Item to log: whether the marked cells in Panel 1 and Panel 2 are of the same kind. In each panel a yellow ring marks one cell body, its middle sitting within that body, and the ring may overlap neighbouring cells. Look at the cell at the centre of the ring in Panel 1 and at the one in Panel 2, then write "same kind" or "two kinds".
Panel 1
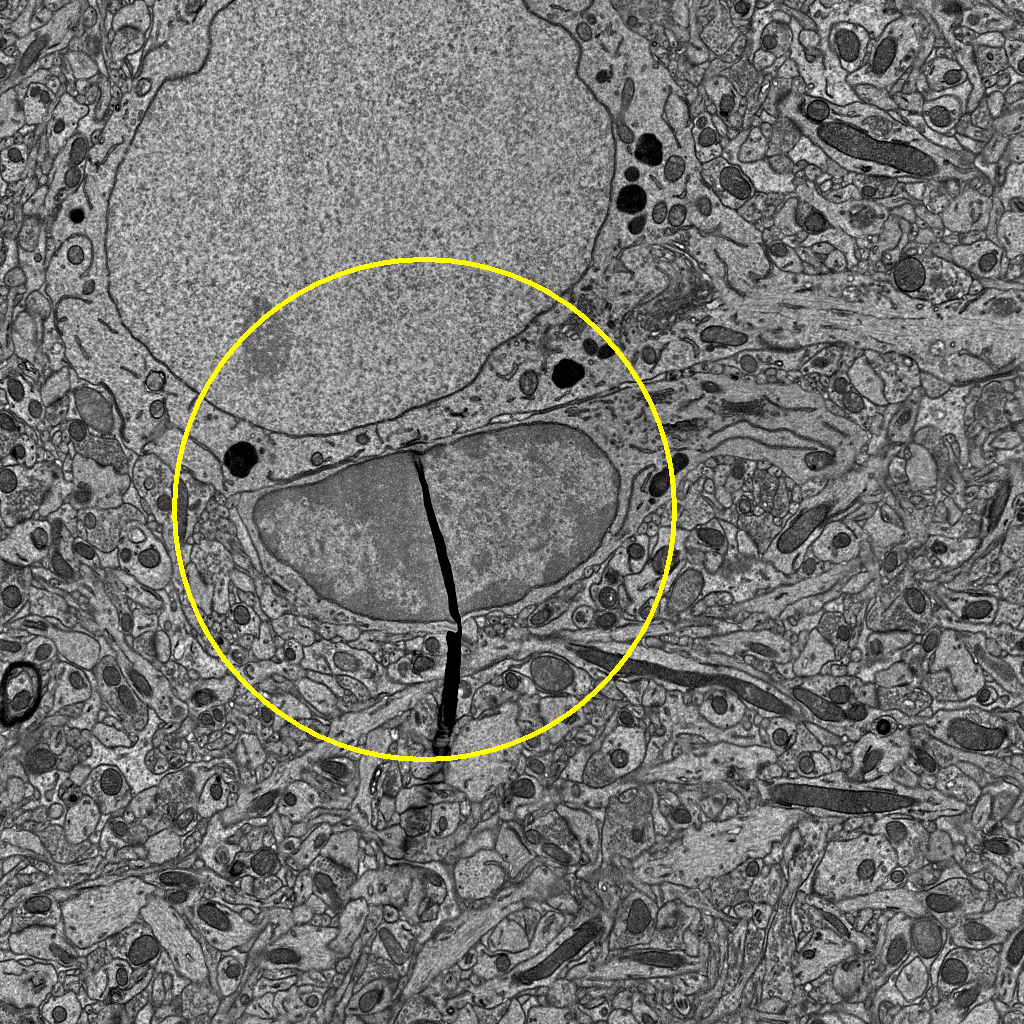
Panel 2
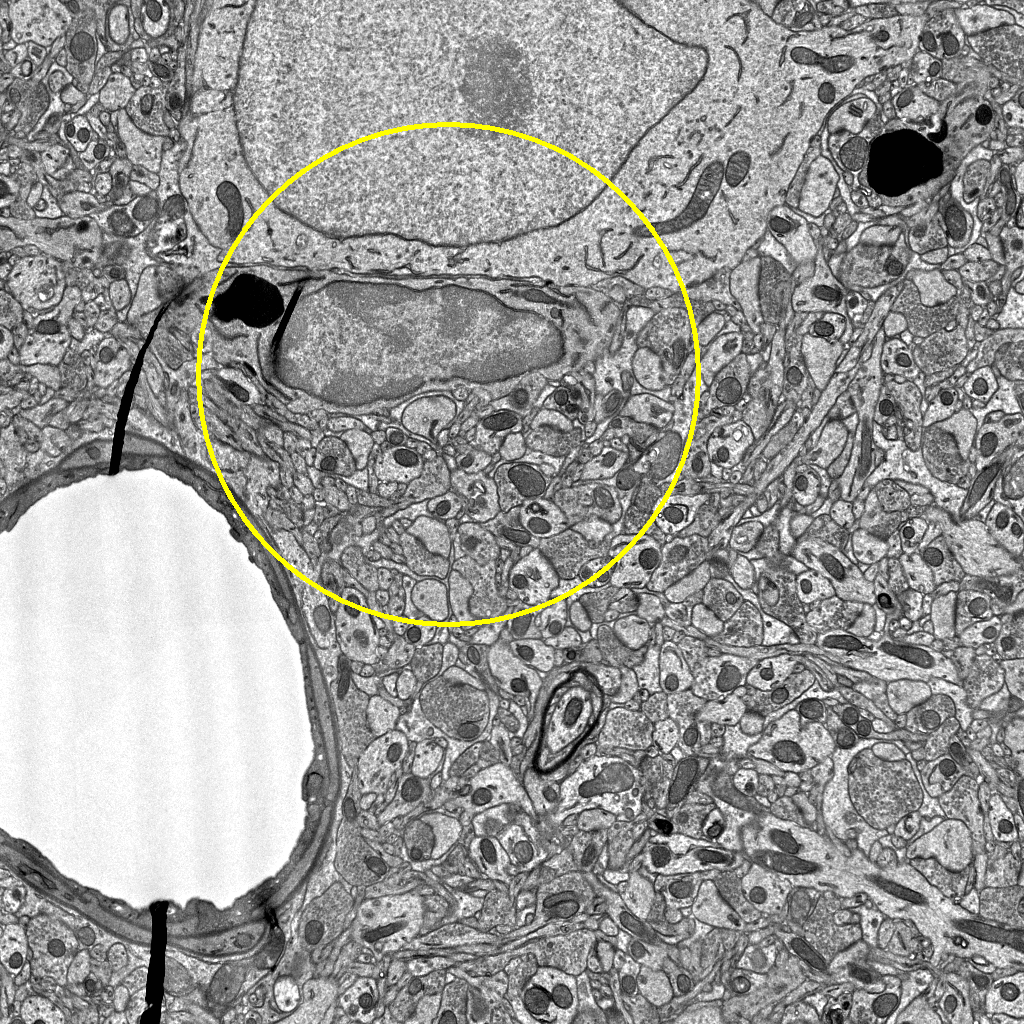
same kind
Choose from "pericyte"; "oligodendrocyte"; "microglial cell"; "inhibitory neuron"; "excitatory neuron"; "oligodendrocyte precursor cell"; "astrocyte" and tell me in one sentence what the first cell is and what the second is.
Both rings mark a microglial cell, one in each picture.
